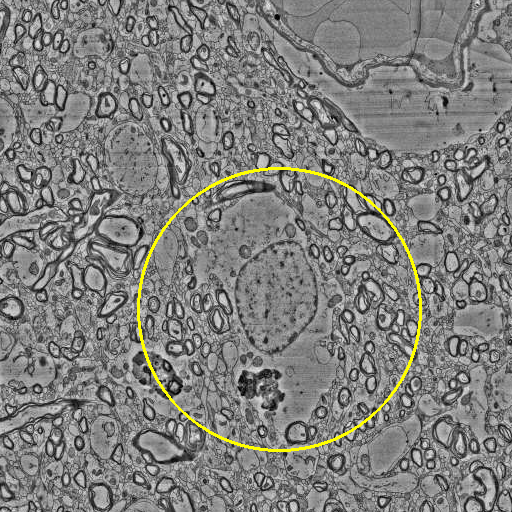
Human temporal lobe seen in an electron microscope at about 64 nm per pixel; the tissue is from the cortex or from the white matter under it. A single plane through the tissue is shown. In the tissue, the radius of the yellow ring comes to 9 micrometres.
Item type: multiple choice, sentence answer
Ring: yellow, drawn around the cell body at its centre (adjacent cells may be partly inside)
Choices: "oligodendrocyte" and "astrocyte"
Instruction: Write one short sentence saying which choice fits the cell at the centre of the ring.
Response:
This ring is drawn around an astrocyte.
